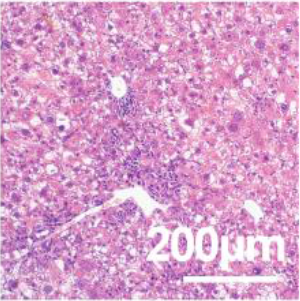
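This is liver tissue stained pink and purple, with large polygonal hepatocytes holding pink cytoplasm and round nuclei. Across the field, dense collections of small cells with dark purple nuclei crowd between the hepatocytes and gather near a vessel, a picture of inflammatory infiltration. Many hepatocytes look swollen or paler, and the regular arrangement of cords is disturbed.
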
